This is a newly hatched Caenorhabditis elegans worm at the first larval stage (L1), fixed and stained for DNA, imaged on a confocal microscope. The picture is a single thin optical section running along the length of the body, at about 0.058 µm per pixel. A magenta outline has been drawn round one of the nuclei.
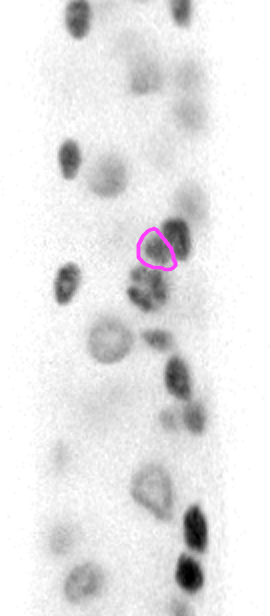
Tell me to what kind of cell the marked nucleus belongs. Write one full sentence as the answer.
What is marked is the nucleus of a somatic gonad precursor.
